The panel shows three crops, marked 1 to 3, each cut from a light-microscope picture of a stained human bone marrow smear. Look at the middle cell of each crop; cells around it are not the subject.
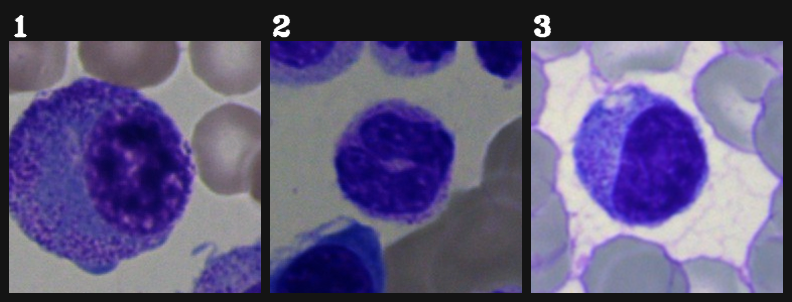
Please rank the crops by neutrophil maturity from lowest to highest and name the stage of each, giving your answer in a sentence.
Along the maturation pathway, from earliest to latest, the order is crop 1 (a promyelocyte), crop 3 (a myelocyte) and crop 2 (a band neutrophil).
